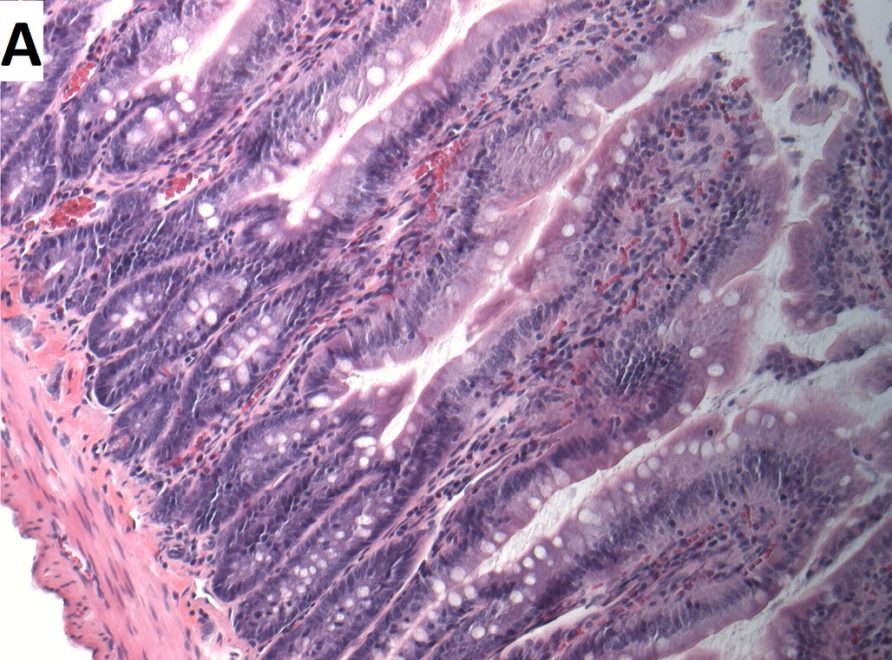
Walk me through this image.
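This is small intestinal mucosa with long villi above crypts, resting on pink smooth muscle at the lower left. The villi are covered by a single layer of tall columnar epithelium with dark purple, elongated nuclei, interspersed with pale round goblet cells. The cores of the villi hold loose connective tissue with scattered small cells and red blood cells in capillaries, and the epithelium lies snugly against them.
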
